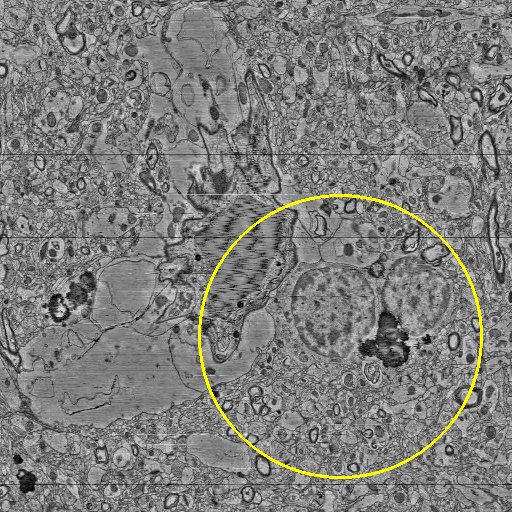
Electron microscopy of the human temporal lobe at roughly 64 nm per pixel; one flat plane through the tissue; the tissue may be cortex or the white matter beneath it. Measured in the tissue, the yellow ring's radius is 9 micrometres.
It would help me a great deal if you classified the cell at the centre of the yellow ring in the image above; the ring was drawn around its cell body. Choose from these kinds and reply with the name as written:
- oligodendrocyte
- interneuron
oligodendrocyte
